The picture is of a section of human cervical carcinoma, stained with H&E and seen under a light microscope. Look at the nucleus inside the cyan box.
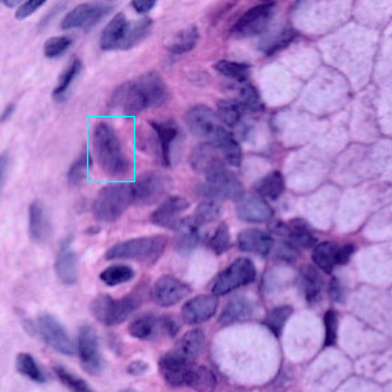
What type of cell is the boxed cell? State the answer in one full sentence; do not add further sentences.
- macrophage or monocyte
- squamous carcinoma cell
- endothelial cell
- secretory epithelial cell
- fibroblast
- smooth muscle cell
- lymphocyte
In the context of this tissue, the boxed cell is a secretory epithelial cell.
